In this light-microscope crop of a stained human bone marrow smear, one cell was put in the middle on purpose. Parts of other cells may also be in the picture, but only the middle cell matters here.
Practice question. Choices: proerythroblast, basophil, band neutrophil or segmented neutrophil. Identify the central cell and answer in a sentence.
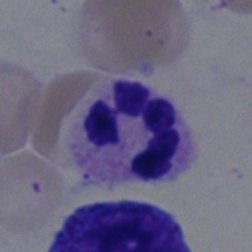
Centrally within this crop lies a segmented neutrophil.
